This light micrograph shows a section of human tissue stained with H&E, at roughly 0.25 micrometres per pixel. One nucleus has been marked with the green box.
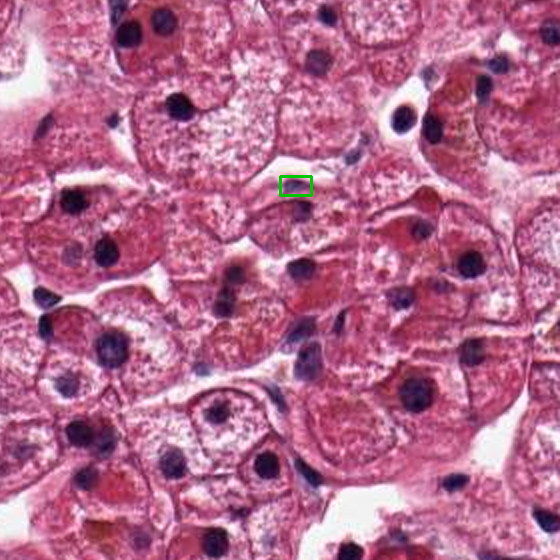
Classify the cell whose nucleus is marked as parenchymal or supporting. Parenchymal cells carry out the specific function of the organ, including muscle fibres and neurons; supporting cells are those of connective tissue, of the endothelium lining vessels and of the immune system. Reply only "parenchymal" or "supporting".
supporting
